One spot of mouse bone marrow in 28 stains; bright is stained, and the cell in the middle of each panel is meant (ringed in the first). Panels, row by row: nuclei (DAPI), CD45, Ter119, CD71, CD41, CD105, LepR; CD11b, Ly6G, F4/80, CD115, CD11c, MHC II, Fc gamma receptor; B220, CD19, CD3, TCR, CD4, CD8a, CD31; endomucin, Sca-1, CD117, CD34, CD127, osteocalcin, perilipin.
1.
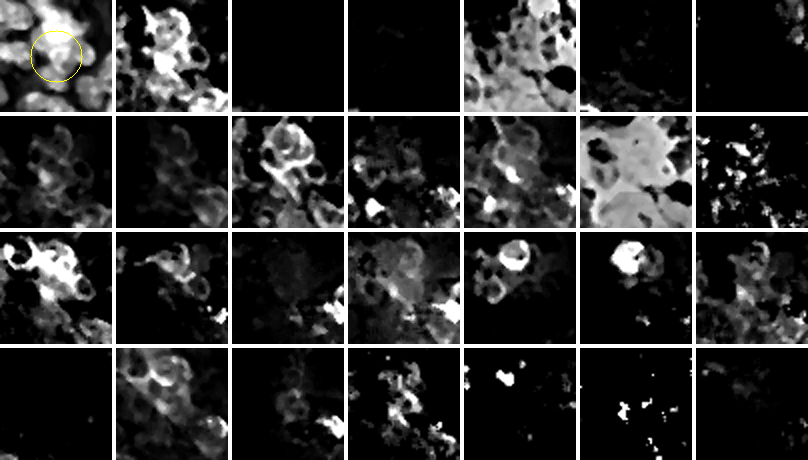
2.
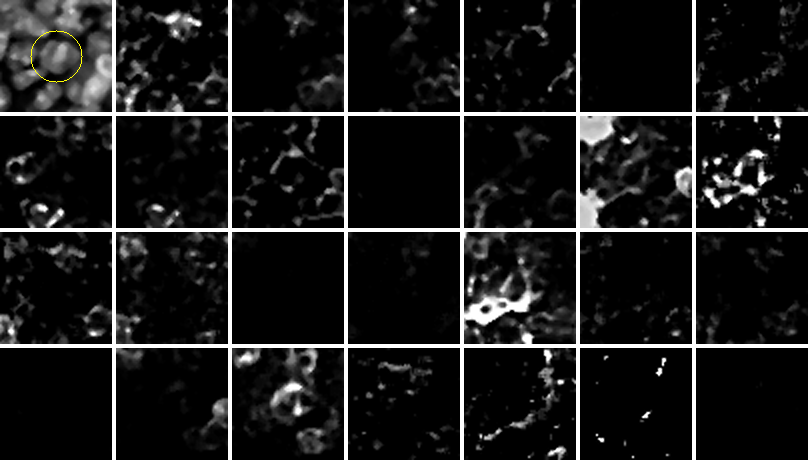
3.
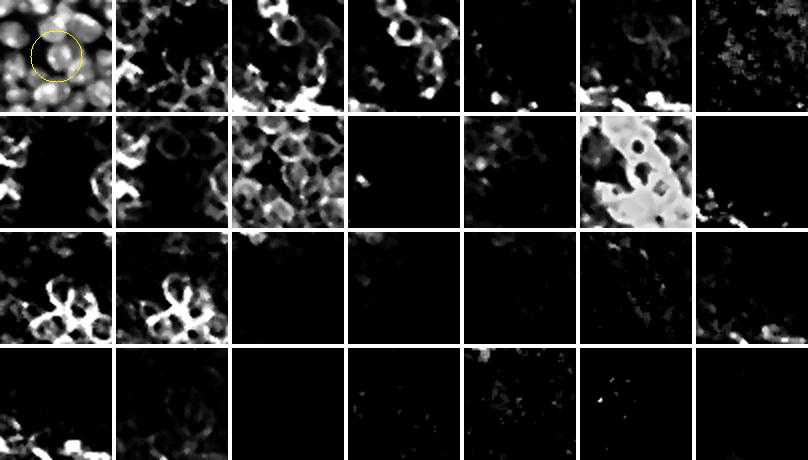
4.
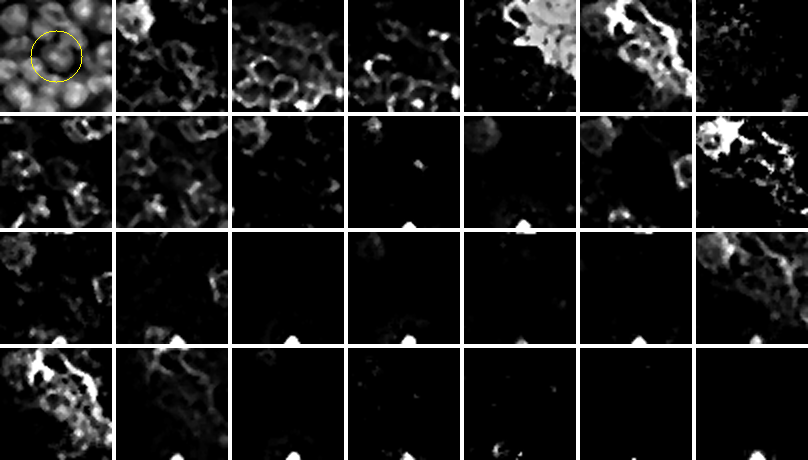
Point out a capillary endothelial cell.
That is picture 4.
